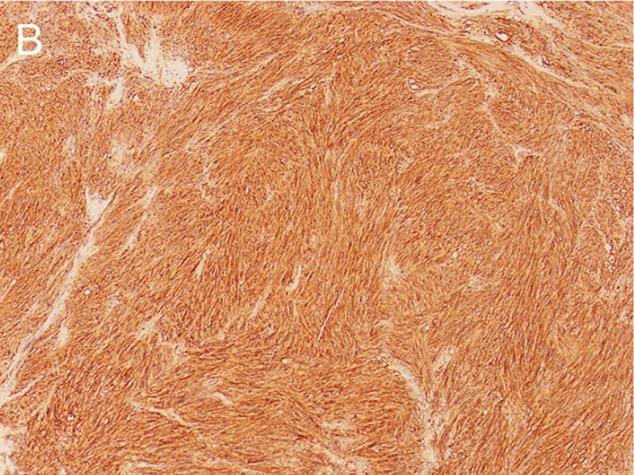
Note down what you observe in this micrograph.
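This is a spindle-cell tumor in which the tumor cells are stained diffusely brown. The elongated cells are arranged in long, intersecting fascicles. Only thin clefts of pale stroma between the bundles are left unstained.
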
